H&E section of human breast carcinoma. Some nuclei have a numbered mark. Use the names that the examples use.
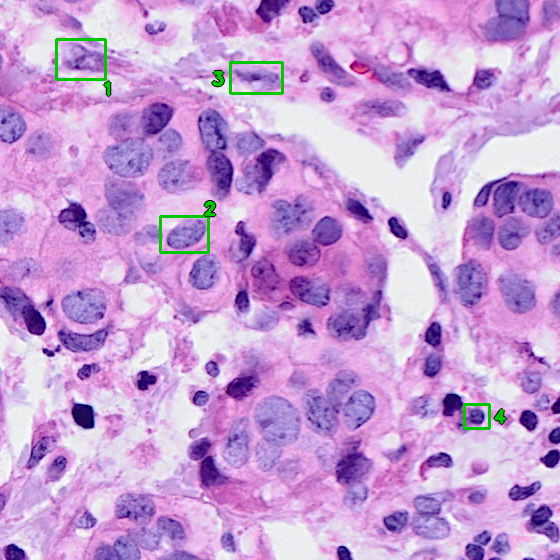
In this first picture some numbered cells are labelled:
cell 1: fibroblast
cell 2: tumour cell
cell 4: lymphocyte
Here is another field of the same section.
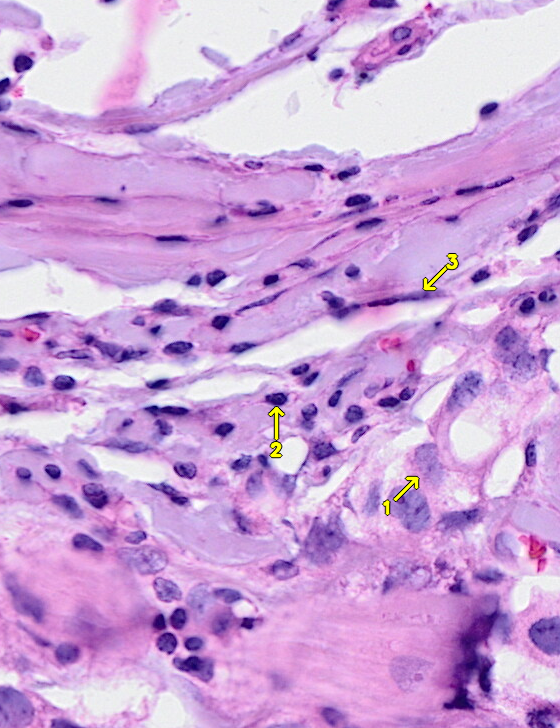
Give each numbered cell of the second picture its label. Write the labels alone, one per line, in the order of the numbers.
tumour cell
lymphocyte
fibroblast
